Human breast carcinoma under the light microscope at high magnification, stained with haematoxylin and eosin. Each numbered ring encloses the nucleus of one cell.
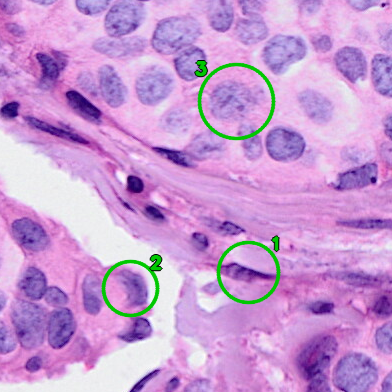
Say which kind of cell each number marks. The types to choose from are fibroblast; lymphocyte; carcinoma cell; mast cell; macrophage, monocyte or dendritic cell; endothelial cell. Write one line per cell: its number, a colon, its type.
1: fibroblast
2: carcinoma cell
3: carcinoma cell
